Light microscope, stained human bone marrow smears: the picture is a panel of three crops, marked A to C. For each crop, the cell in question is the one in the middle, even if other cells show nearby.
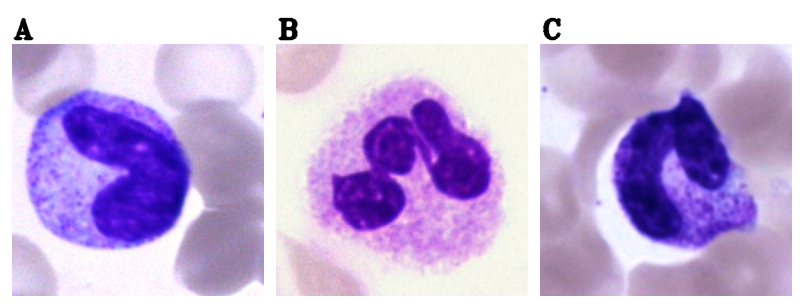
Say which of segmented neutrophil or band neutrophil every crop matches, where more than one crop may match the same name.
A: band neutrophil
B: segmented neutrophil
C: band neutrophil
